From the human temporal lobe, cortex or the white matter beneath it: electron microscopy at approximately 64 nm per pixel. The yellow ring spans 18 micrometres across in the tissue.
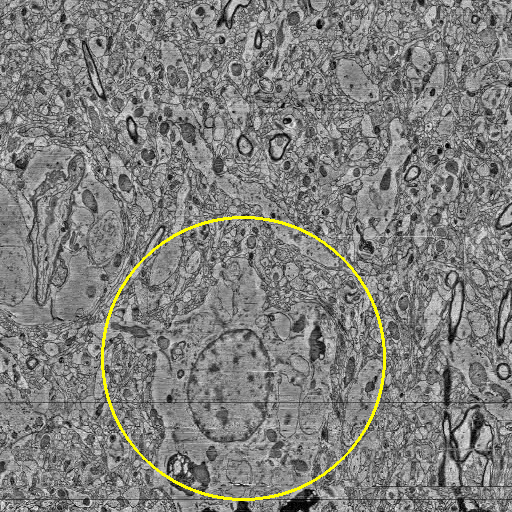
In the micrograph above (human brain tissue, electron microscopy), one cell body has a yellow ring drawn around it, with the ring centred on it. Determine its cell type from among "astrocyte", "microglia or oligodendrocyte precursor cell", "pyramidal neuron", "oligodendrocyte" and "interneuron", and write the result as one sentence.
The cell whose body is ringed is an astrocyte.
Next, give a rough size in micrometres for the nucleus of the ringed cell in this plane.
In this plane, the nucleus is roughly 8 by 5 micrometres.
